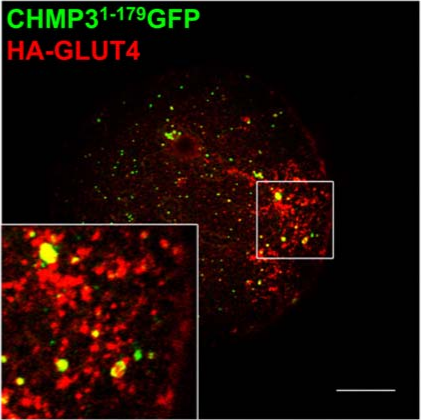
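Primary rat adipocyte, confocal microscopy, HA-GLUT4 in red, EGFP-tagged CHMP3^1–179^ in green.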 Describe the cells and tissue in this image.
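A single rounded fat cell is shown in a confocal section, its oval outline faintly visible against the dark background. Bright green puncta of varied size are dispersed across the cell; several larger round ones sit within the red clusters and appear yellow where both colours overlap. The red compartments appear enlarged and stretched, giving a swollen and extended appearance.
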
